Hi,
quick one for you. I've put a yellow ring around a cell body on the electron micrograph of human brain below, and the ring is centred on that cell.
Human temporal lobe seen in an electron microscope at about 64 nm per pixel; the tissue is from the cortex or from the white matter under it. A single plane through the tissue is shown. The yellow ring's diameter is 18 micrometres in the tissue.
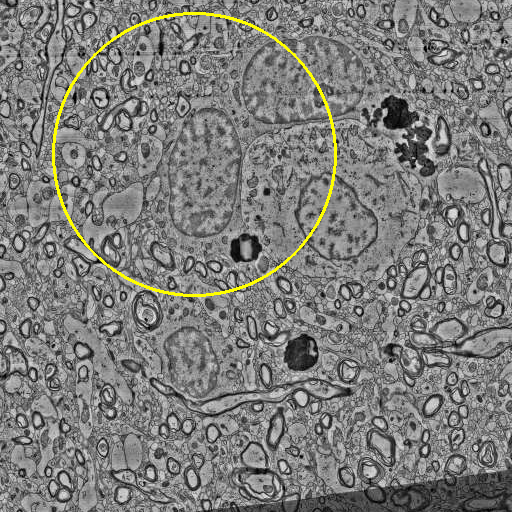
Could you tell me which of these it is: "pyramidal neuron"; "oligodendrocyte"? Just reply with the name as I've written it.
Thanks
oligodendrocyte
